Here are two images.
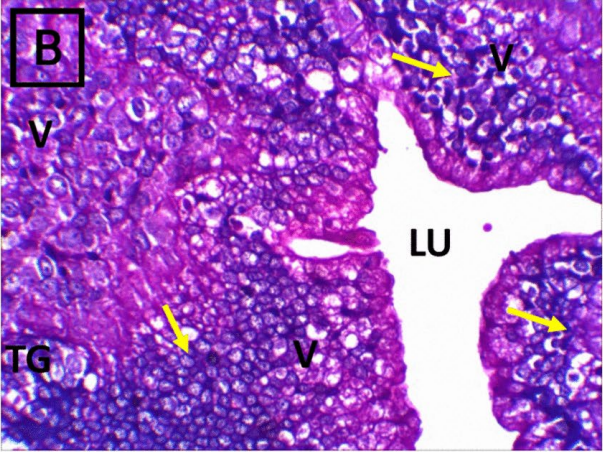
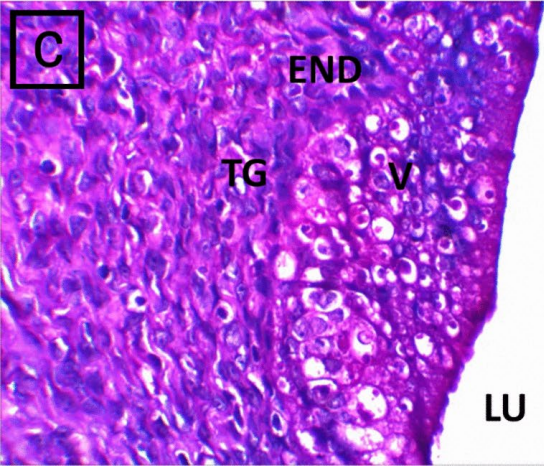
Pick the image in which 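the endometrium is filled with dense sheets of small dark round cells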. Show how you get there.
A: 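The first image. Second image: the stroma consists mostly of spindle-shaped cells with only a small patch of crowded dark nuclei. First image: large areas are packed with small round dark-blue nuclei in sheets.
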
